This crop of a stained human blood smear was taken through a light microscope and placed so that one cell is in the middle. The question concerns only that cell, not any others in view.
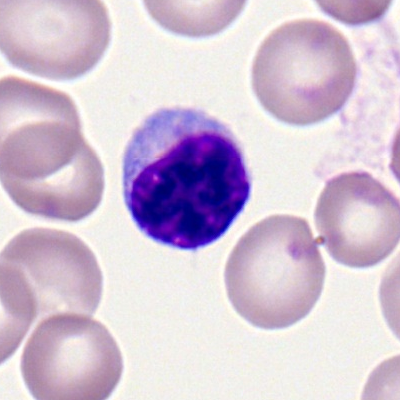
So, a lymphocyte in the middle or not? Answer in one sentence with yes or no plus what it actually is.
Yes, the cell at the centre of the field is a lymphocyte.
